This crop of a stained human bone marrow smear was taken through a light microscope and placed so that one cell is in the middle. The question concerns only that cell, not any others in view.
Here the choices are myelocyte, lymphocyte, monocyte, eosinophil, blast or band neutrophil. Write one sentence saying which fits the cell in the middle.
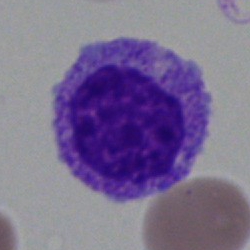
The cell that lies at the centre of the crop is a myelocyte.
